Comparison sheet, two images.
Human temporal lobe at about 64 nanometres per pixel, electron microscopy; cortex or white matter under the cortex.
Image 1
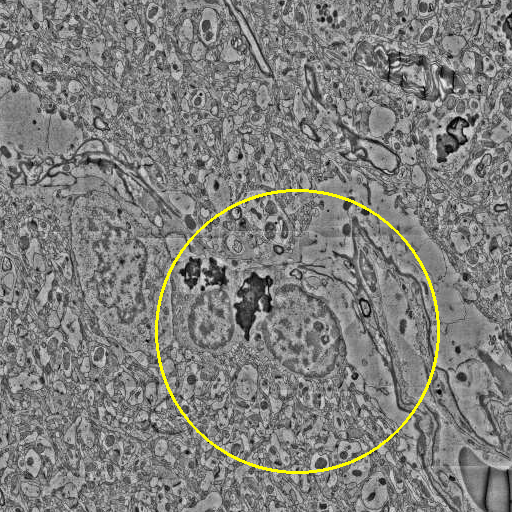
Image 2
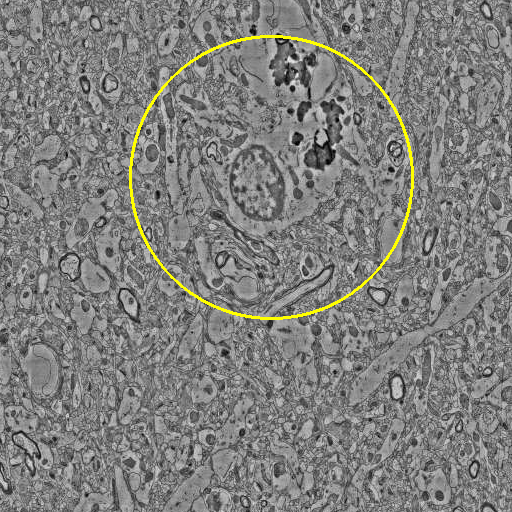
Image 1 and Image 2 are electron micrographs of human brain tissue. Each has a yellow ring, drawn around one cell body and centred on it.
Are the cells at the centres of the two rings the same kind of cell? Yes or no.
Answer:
no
